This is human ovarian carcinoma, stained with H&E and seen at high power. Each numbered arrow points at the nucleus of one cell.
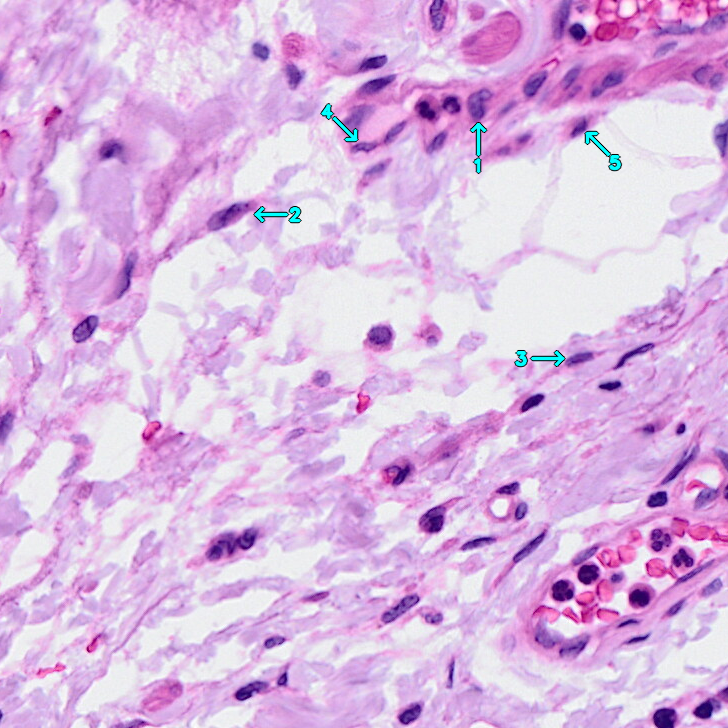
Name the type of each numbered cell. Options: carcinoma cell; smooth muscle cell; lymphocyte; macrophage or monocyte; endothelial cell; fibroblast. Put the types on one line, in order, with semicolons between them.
endothelial cell; fibroblast; fibroblast; endothelial cell; endothelial cell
